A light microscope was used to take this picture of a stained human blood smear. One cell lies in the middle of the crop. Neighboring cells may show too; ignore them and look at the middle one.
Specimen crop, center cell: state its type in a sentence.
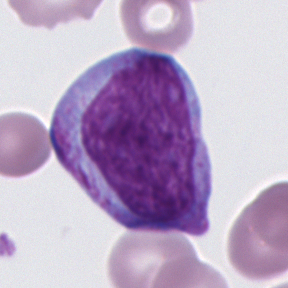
For this crop, the cell in the middle is an atypical promyelocyte.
